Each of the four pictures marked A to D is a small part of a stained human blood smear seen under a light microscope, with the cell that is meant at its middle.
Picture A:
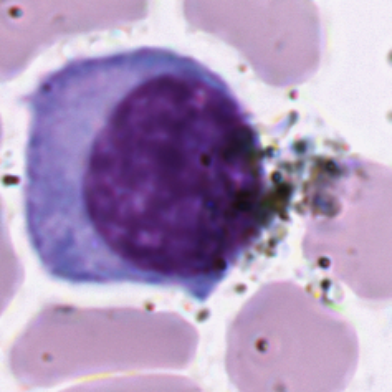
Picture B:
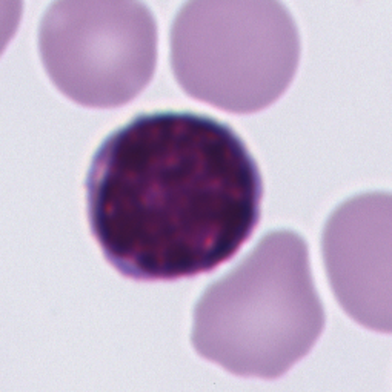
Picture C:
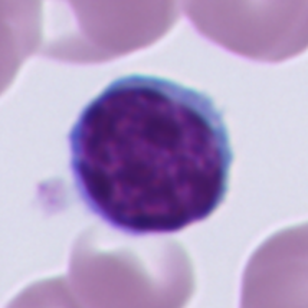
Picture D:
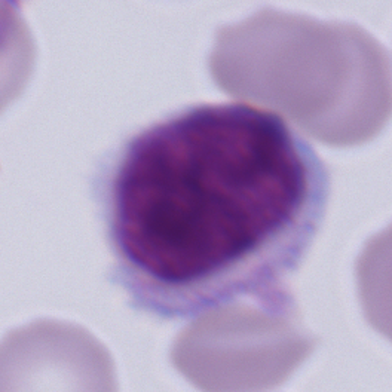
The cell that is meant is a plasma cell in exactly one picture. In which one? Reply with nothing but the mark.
A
